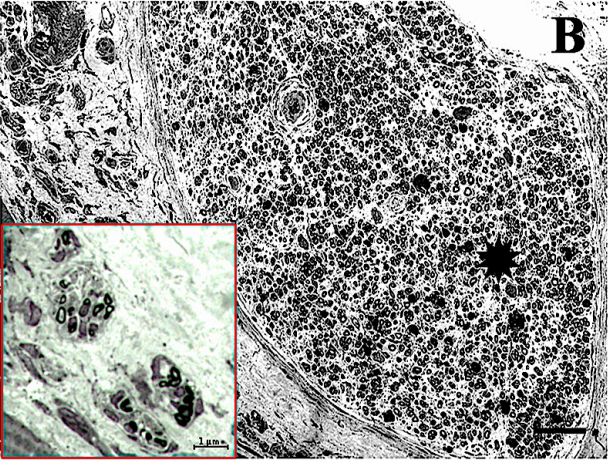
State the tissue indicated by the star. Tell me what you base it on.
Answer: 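Nerve area. The star lies in a large region densely packed with small dark ring-shaped profiles. The region is surrounded by a band of lighter fibrous tissue.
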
